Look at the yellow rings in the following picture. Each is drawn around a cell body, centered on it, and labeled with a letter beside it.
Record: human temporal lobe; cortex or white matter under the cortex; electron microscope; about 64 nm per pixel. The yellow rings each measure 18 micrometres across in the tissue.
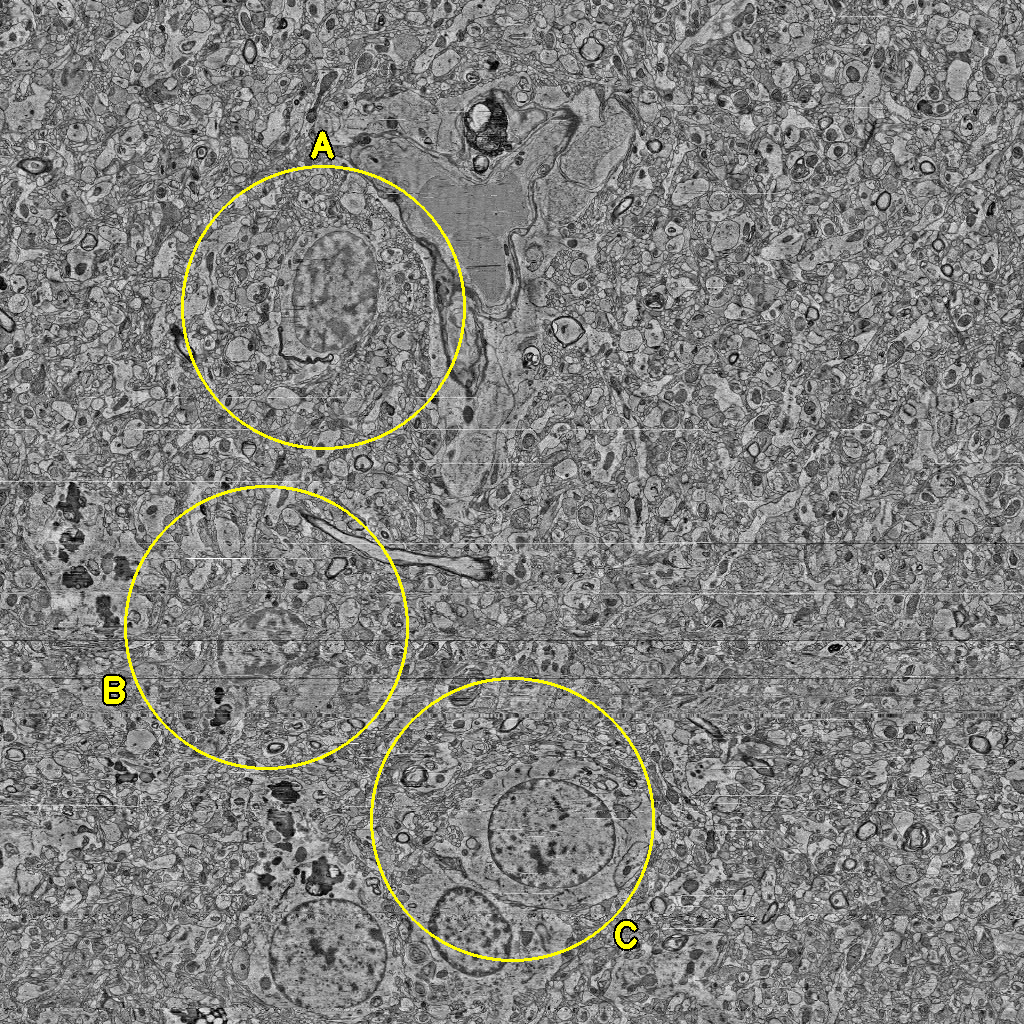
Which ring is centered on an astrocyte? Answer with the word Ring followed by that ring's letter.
Ring C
